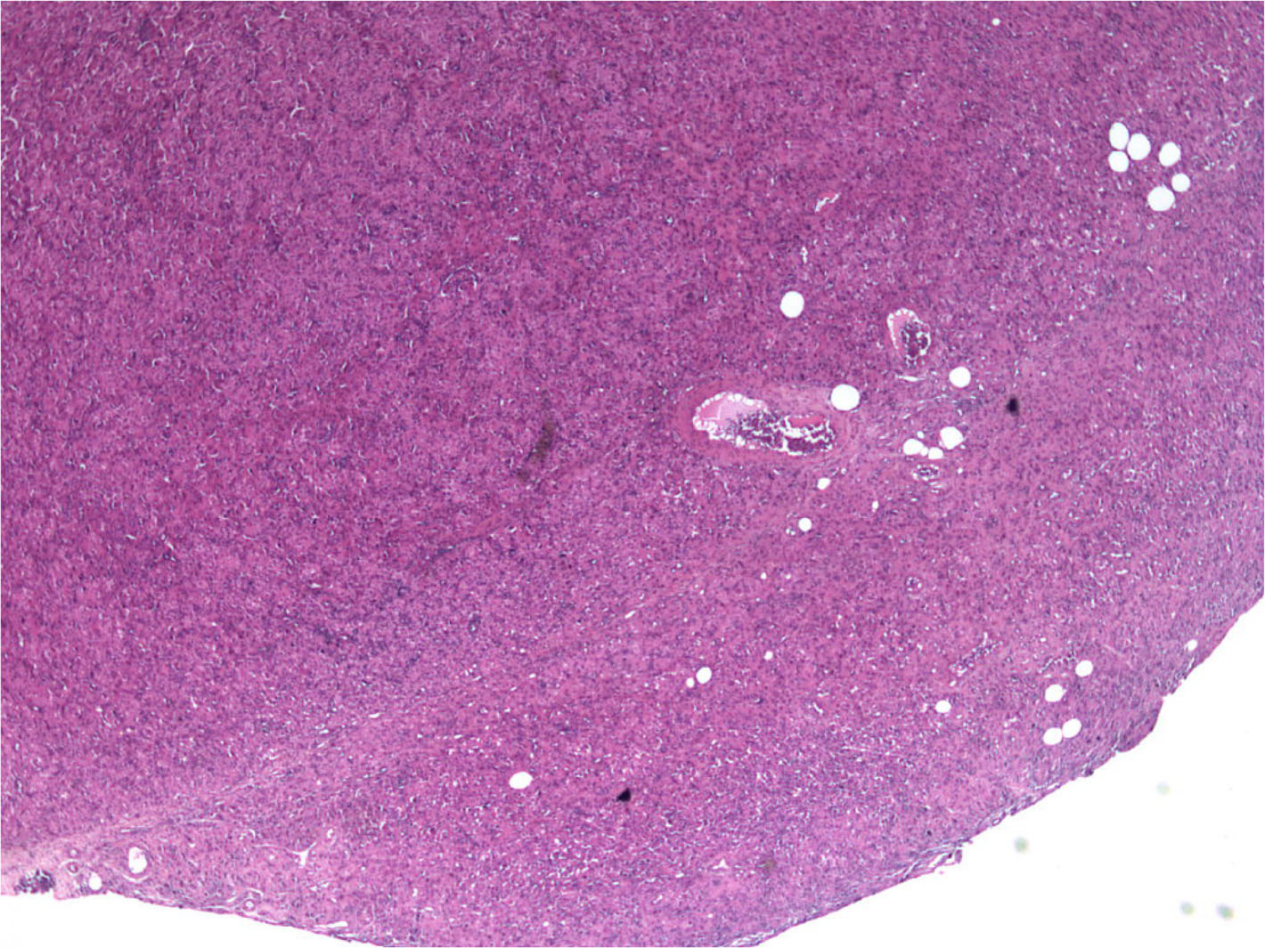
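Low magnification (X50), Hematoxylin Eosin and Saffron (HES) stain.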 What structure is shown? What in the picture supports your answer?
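Sheets of eosinophilic cells. Pink-staining cells form continuous solid expanses without glands or lobules. Small dark nuclei are scattered evenly through the pink tissue.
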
